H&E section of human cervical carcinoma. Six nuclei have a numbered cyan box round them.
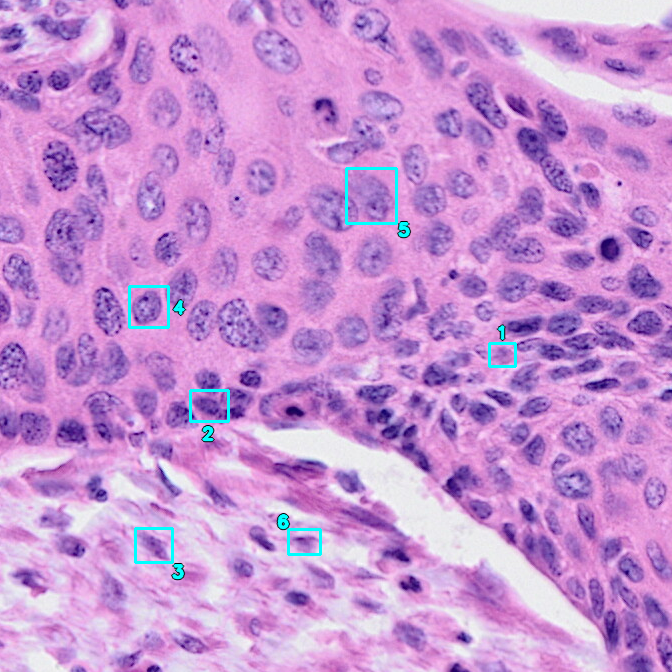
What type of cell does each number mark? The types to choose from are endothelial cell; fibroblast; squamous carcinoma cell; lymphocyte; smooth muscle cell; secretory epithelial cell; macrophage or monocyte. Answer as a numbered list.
1. squamous carcinoma cell
2. squamous carcinoma cell
3. fibroblast
4. squamous carcinoma cell
5. squamous carcinoma cell
6. fibroblast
